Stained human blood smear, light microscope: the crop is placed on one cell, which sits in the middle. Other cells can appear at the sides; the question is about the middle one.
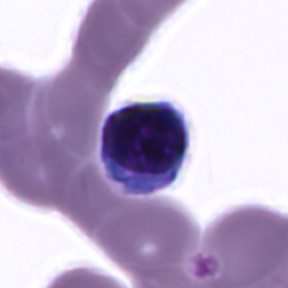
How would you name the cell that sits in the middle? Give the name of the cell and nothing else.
plasma cell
